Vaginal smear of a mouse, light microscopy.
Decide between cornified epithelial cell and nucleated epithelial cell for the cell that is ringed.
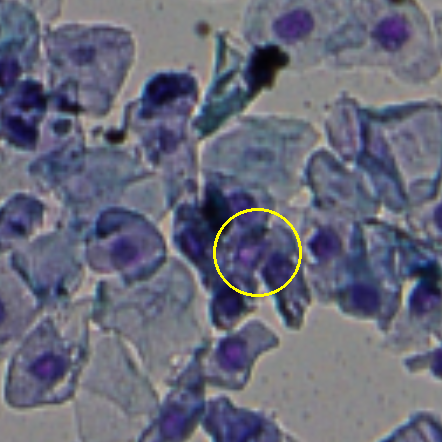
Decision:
I take the ringed cell for a nucleated epithelial cell.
